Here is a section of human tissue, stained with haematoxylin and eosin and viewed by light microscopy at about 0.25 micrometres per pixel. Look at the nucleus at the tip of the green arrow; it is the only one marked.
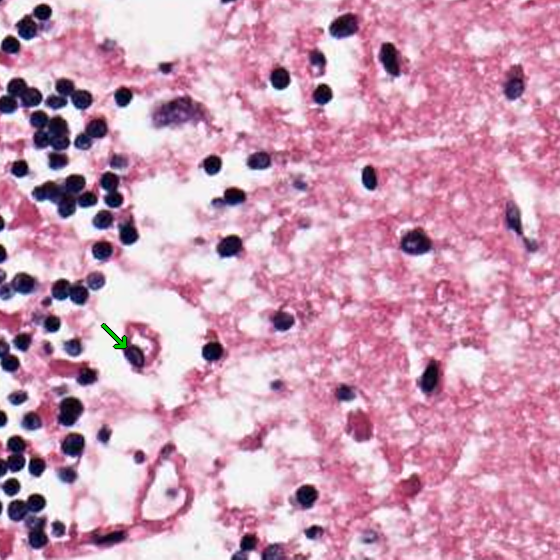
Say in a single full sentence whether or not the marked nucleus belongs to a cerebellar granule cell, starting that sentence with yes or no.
No, the marked nucleus is that of a supporting cell instead of a cerebellar granule cell.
